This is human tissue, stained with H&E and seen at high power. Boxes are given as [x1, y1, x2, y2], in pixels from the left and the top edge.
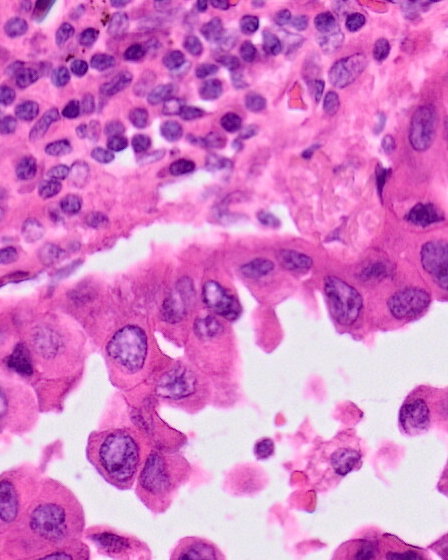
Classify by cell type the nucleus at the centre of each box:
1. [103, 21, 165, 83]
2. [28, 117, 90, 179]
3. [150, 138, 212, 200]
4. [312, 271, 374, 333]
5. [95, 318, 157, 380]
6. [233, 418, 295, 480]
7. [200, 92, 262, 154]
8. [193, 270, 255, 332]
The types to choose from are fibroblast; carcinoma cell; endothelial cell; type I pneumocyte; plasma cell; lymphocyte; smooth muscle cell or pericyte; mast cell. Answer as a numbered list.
1. plasma cell
2. lymphocyte
3. plasma cell
4. carcinoma cell
5. carcinoma cell
6. lymphocyte
7. plasma cell
8. carcinoma cell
